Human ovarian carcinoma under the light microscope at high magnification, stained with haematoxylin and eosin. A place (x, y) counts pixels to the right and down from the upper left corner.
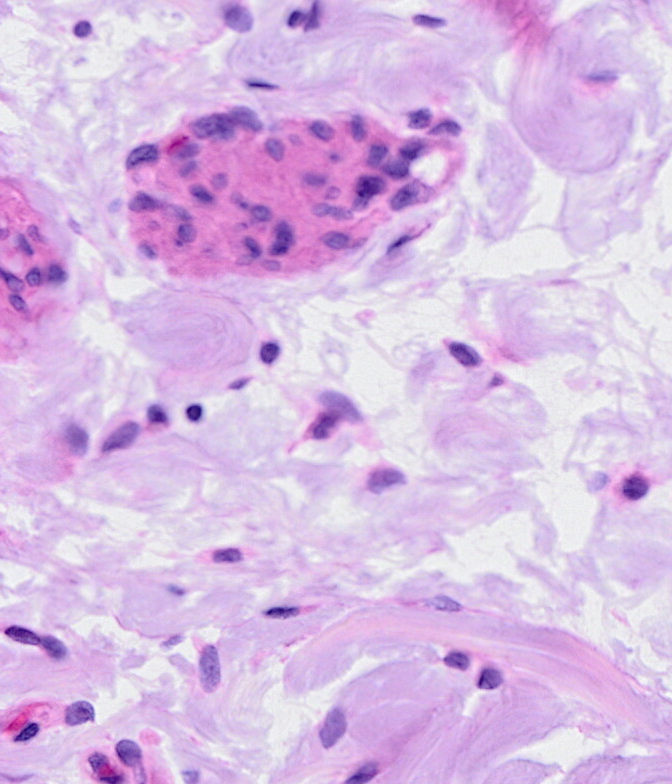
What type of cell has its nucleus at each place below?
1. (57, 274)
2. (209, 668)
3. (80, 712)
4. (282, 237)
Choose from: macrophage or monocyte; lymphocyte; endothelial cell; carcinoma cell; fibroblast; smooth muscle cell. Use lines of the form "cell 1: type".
cell 1: smooth muscle cell
cell 2: fibroblast
cell 3: fibroblast
cell 4: smooth muscle cell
